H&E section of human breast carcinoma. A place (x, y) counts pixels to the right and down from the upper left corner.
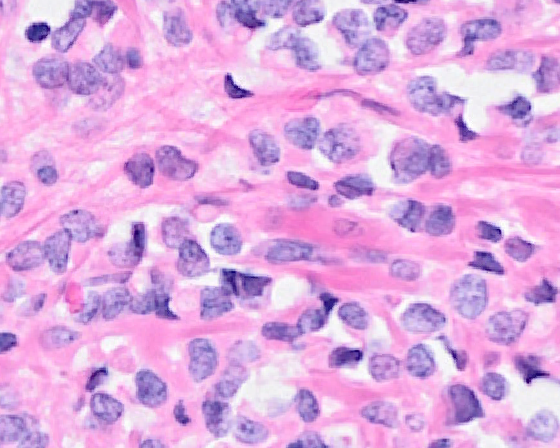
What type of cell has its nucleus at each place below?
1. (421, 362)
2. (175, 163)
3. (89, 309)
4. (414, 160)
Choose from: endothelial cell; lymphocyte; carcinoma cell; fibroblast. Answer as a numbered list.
1. carcinoma cell
2. carcinoma cell
3. endothelial cell
4. carcinoma cell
